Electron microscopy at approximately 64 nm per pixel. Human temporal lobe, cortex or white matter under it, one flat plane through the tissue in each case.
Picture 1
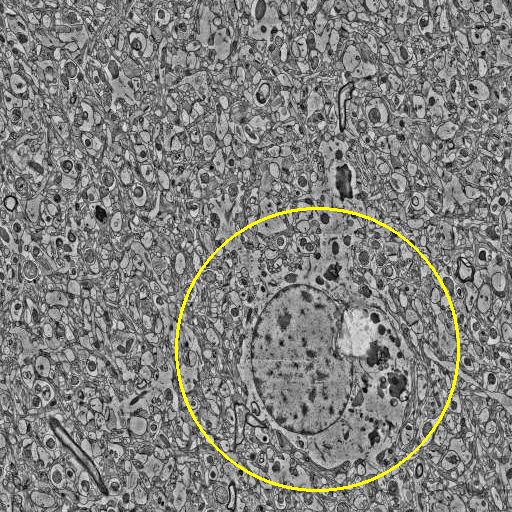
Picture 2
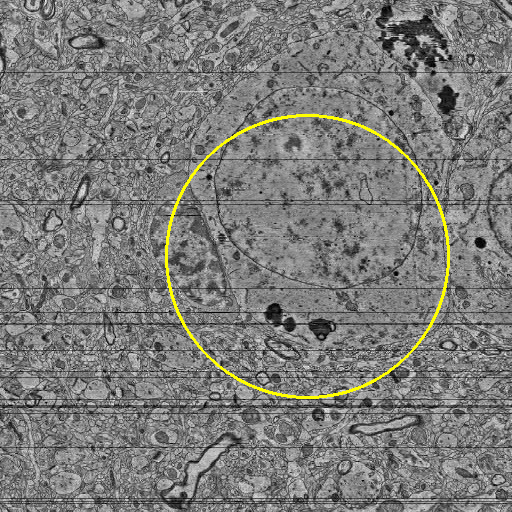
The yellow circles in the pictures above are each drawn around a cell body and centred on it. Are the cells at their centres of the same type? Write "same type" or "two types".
two types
